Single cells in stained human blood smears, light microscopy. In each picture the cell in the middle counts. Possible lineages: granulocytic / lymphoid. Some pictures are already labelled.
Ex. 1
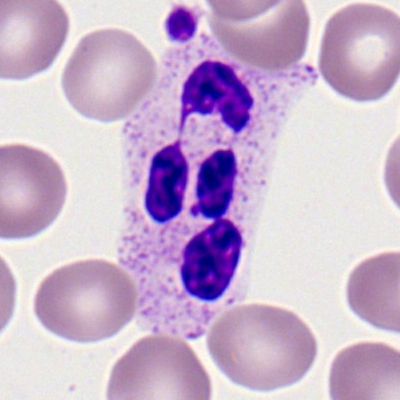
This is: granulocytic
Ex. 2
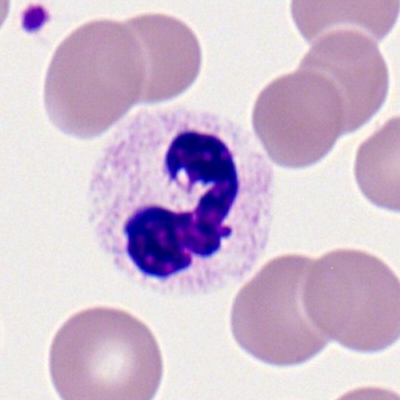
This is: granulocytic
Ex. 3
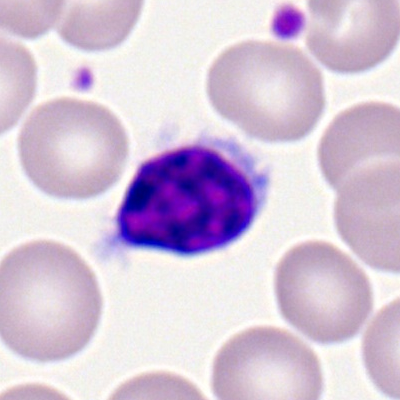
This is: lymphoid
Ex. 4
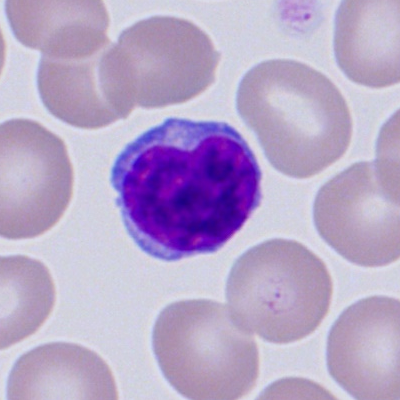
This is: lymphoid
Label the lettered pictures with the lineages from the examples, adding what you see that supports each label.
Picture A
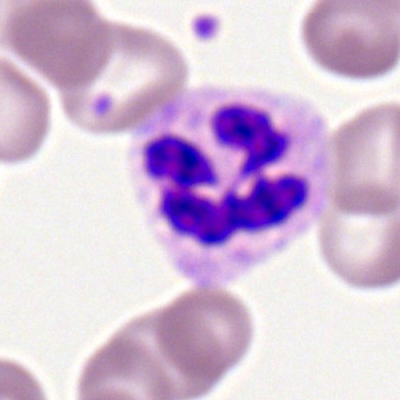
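granulocytic: The cytoplasm is plentiful and pale pinkish-lilac.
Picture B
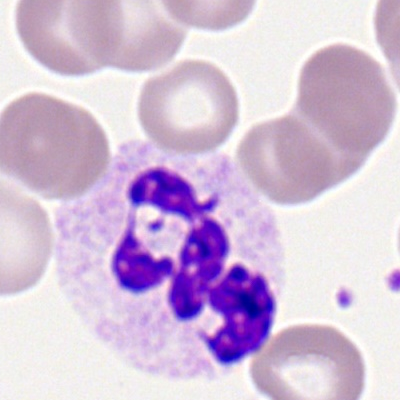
granulocytic: The cytoplasm is abundant and pale pinkish-lilac.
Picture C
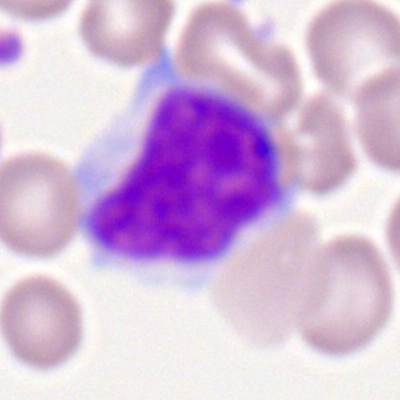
lymphoid: The nucleus fills most of the cell.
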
